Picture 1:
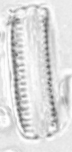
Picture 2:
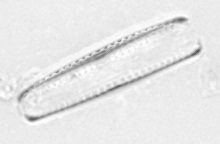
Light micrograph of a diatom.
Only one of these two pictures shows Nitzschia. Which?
Picture 1.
